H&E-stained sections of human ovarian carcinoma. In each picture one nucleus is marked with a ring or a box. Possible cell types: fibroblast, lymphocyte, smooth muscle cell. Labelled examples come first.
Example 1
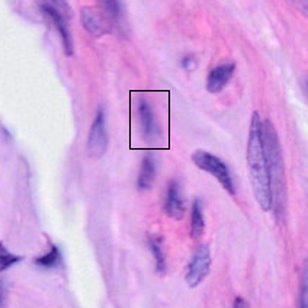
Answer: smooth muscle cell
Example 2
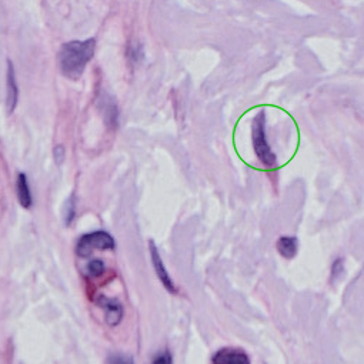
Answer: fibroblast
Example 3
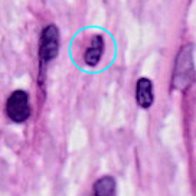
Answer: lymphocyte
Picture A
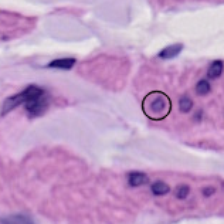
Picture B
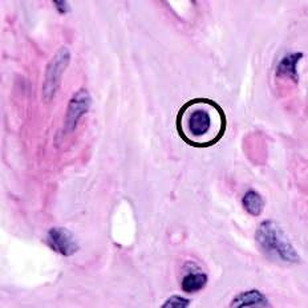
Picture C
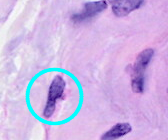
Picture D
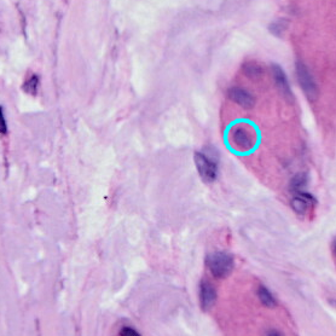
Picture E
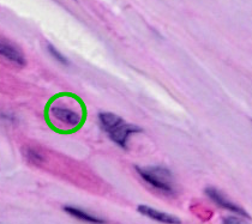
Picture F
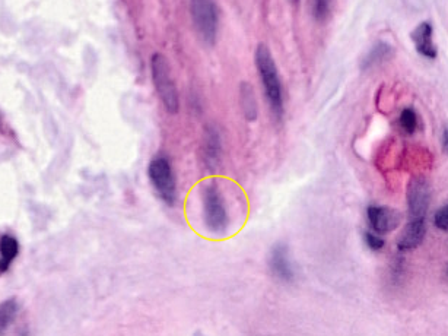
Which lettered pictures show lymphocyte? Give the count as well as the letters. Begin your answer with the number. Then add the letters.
1, namely B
